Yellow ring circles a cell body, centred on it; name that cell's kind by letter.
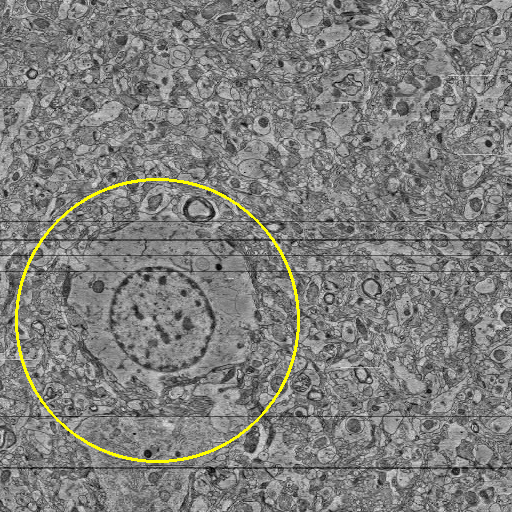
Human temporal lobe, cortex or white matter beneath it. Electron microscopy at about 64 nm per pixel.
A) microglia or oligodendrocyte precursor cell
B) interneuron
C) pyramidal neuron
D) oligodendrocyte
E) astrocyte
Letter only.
E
